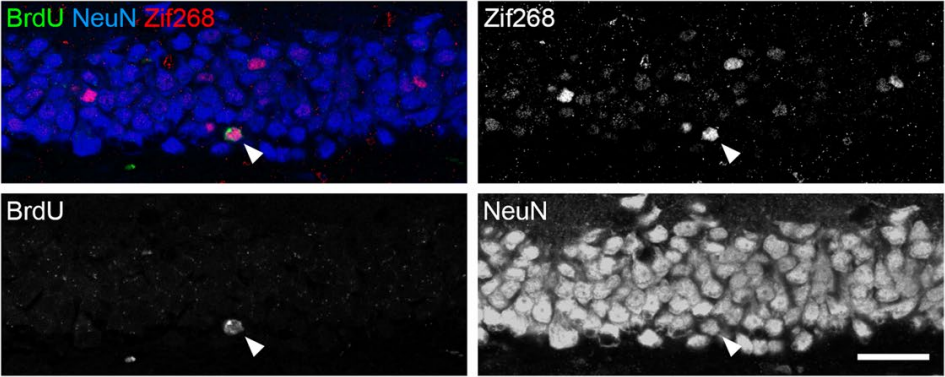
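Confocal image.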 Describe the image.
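A close view of a stretch of the granule cell layer, made of closely packed round nuclei in blue. A few nuclei are also red, and one at the lower edge of the layer, marked by an arrowhead, shows green, red and blue together. The separate grey channels show the same field.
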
